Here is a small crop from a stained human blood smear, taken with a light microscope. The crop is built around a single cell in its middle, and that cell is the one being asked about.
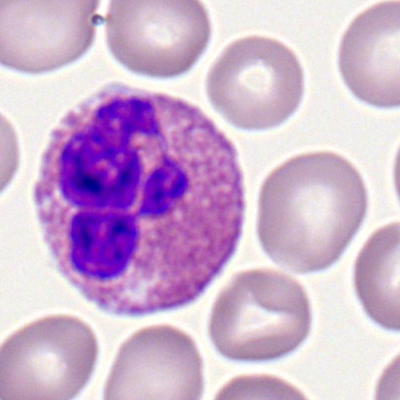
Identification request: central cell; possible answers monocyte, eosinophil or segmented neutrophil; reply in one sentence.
The single cell at the center of the crop is an eosinophil.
